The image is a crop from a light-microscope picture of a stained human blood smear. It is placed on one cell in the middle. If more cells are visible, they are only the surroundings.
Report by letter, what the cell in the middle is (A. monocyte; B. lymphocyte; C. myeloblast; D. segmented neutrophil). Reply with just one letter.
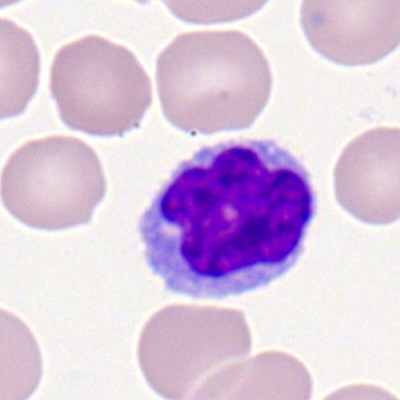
B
